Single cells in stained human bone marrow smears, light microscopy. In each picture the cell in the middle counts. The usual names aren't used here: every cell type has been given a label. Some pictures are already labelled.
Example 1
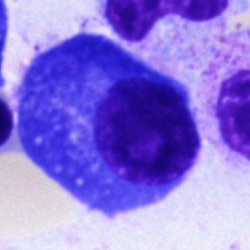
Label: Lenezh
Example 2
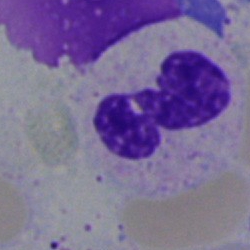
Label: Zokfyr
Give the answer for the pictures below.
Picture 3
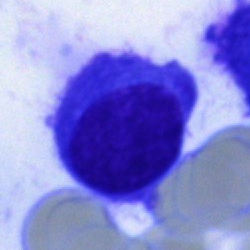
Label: Lenezh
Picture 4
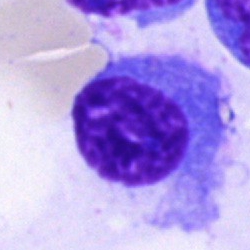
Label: Lenezh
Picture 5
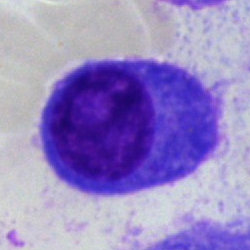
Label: Lenezh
